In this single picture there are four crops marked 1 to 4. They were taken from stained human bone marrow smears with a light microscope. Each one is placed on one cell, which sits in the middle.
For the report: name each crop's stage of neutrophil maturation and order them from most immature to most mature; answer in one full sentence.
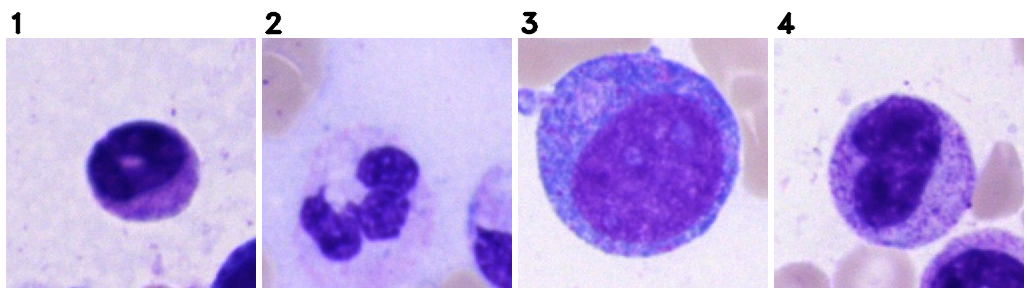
Starting with the least mature and ending with the most mature, the order is crop 3 (a promyelocyte), crop 4 (a metamyelocyte), crop 1 (a band neutrophil) and crop 2 (a segmented neutrophil).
